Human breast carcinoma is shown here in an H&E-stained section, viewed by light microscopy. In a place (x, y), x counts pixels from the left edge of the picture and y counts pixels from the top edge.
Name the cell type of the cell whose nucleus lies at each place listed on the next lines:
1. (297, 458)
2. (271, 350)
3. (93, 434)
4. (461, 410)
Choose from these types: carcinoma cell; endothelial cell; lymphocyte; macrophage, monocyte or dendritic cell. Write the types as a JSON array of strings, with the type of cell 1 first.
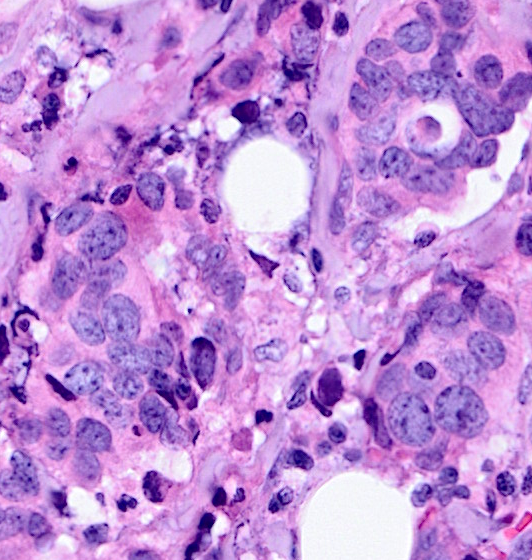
["lymphocyte", "macrophage, monocyte or dendritic cell", "carcinoma cell", "carcinoma cell"]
